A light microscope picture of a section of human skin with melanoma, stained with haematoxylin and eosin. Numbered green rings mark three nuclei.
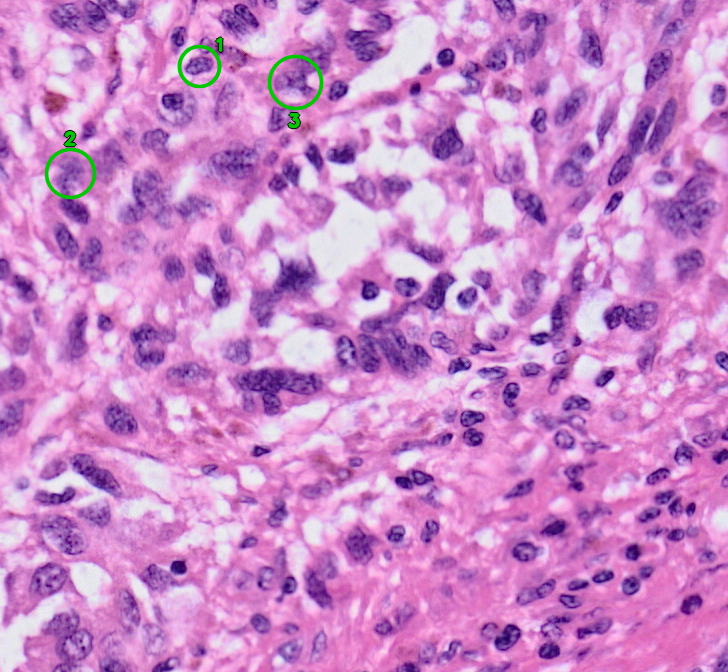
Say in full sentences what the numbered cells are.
Cell 1 is a lymphocyte. Cells 2 and 3 are melanoma cells.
